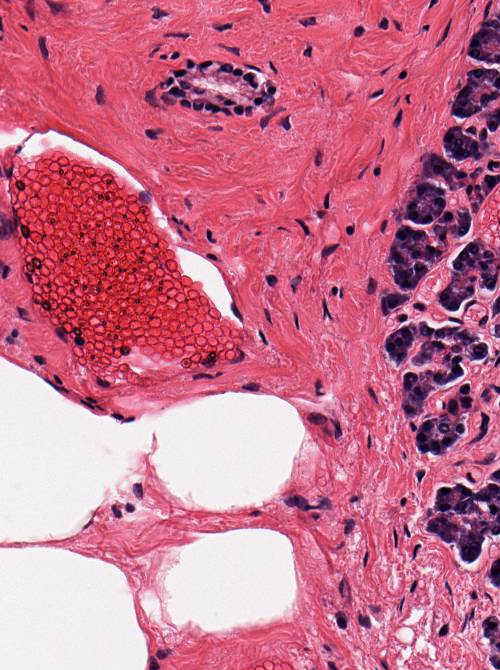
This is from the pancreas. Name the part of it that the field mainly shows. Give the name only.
loose connective tissue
